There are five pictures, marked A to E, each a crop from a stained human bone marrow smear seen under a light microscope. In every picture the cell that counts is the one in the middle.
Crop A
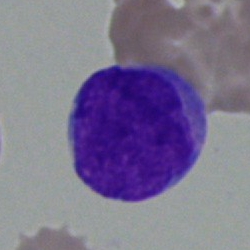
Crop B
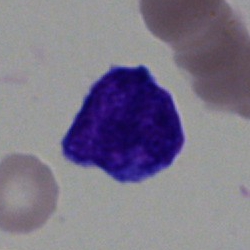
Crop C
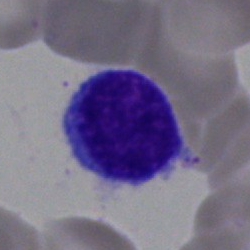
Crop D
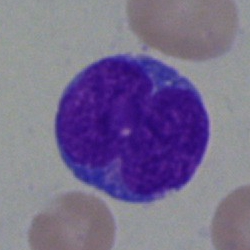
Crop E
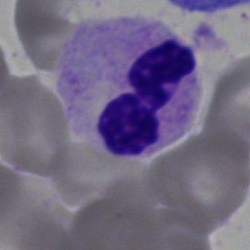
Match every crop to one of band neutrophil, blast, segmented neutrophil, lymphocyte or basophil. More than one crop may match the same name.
A: blast
B: blast
C: lymphocyte
D: blast
E: segmented neutrophil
